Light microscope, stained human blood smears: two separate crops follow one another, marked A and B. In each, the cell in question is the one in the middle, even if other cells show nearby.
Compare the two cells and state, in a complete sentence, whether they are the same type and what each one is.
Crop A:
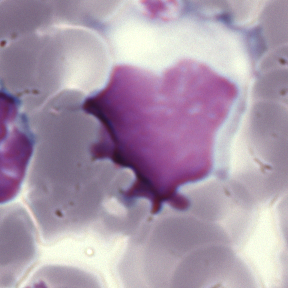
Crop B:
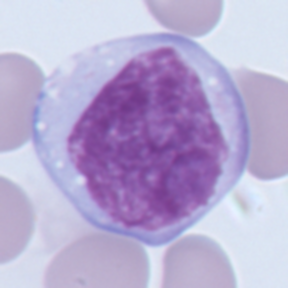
No, crop A and crop B show a typical lymphocyte and a myeloblast respectively.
